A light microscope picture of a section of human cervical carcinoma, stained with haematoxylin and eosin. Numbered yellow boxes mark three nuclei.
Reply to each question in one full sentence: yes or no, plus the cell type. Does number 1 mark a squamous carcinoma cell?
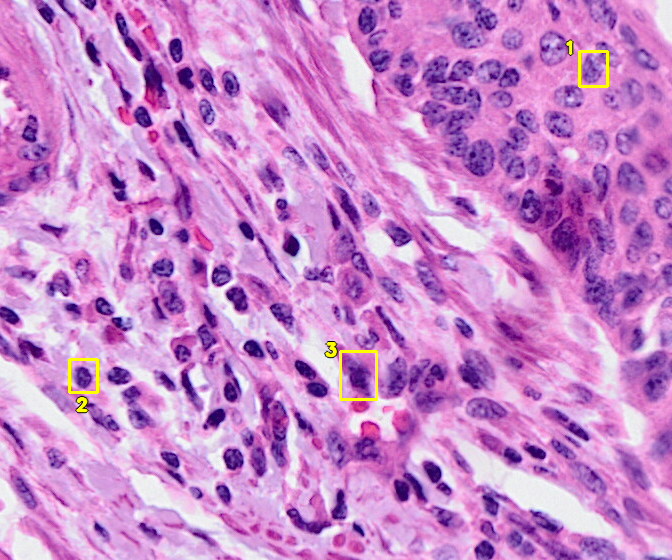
Yes, the cell that bears the number 1 is a squamous carcinoma cell.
